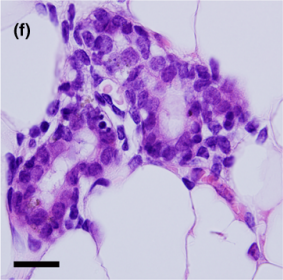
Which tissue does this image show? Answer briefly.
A: Mammary fat pad.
